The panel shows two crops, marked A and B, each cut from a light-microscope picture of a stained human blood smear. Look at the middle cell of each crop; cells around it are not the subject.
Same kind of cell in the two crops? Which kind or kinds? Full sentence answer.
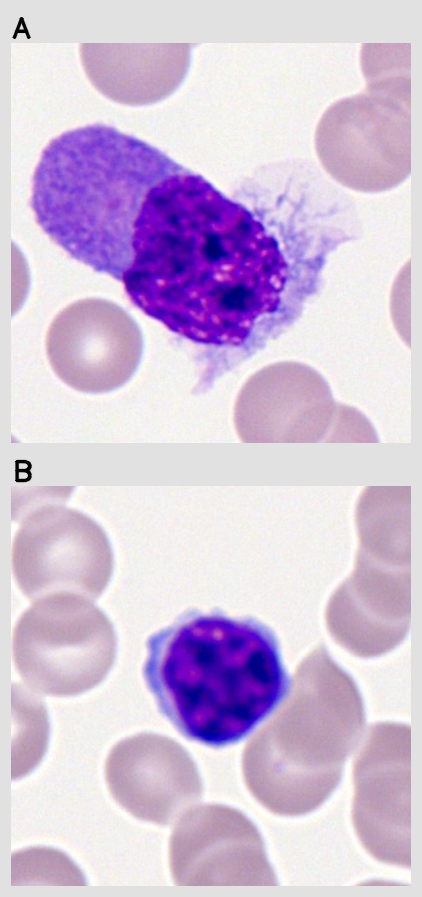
No, a monocyte is centred in crop A, and a lymphocyte is centred in crop B.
